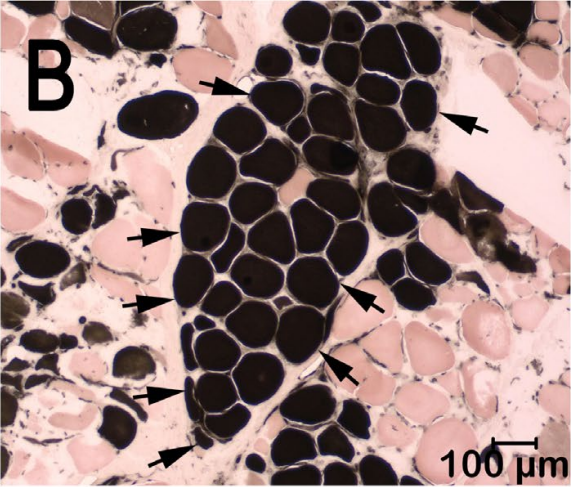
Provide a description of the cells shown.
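This cross-section of skeletal muscle shows fibers stained either dark brown-black or pale pink. Pale fibers are gathered in other areas, so the two shades do not alternate as in a checkerboard. Small fibers of both shades are scattered among the larger ones.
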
